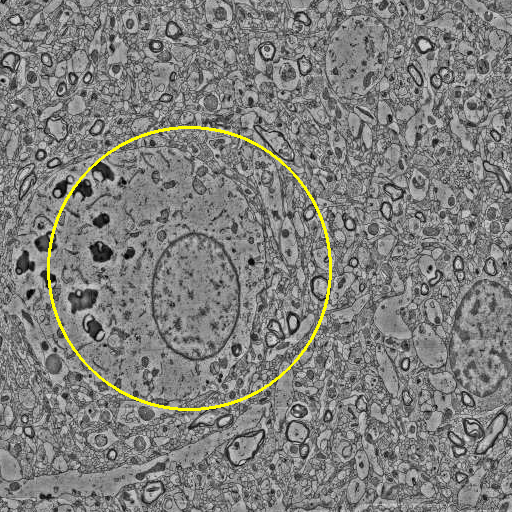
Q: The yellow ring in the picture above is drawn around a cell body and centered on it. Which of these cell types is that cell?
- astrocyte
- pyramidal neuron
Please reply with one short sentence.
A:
The cell body at the ring's center belongs to a pyramidal neuron.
